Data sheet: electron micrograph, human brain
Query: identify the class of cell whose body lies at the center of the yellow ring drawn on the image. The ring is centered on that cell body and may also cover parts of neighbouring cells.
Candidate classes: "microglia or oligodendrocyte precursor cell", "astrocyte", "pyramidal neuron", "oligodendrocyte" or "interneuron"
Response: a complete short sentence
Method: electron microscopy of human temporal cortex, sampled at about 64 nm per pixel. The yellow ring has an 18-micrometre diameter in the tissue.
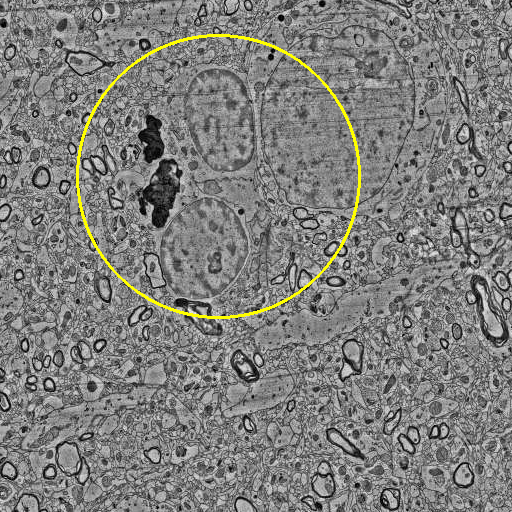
At the center of the ring lies an oligodendrocyte.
